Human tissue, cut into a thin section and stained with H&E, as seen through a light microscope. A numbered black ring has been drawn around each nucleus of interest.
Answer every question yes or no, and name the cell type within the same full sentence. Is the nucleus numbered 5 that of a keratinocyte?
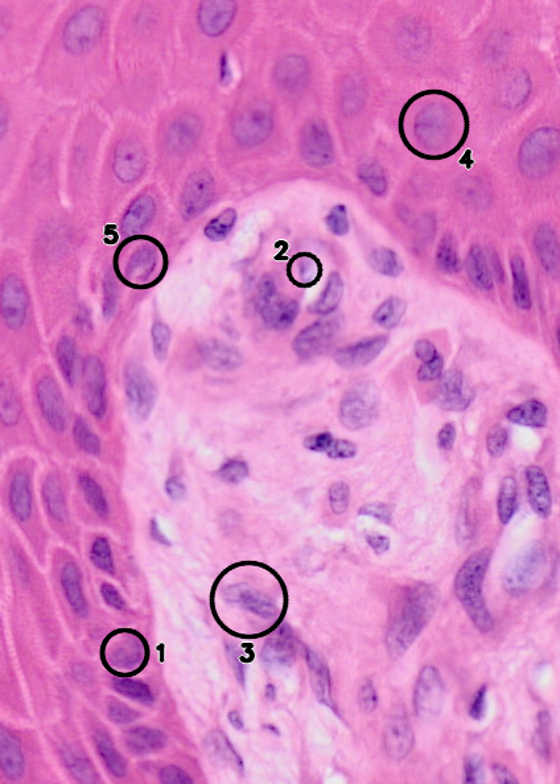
Yes, the cell that the number 5 labels is a keratinocyte.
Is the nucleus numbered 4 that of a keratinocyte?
Yes, of the numbered cells, number 4 is a keratinocyte.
